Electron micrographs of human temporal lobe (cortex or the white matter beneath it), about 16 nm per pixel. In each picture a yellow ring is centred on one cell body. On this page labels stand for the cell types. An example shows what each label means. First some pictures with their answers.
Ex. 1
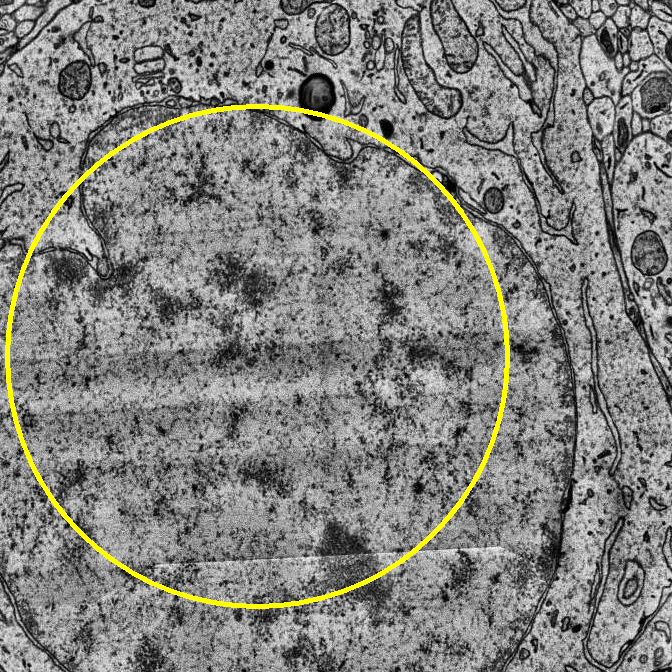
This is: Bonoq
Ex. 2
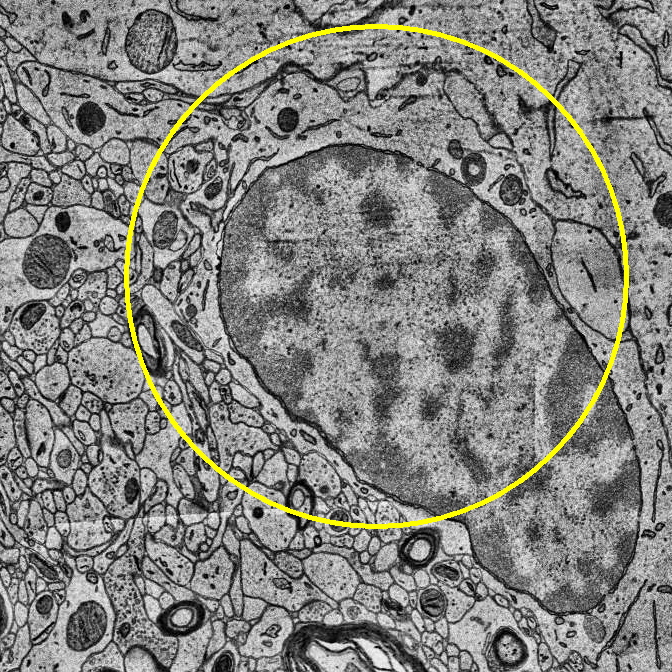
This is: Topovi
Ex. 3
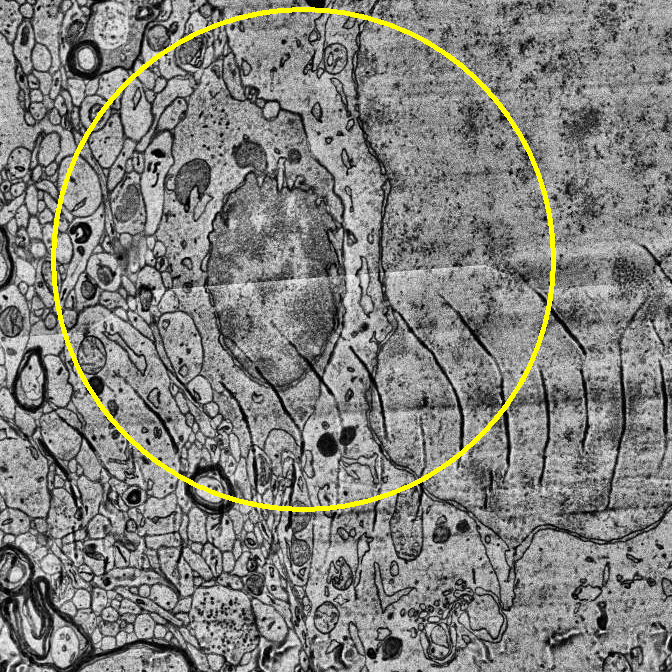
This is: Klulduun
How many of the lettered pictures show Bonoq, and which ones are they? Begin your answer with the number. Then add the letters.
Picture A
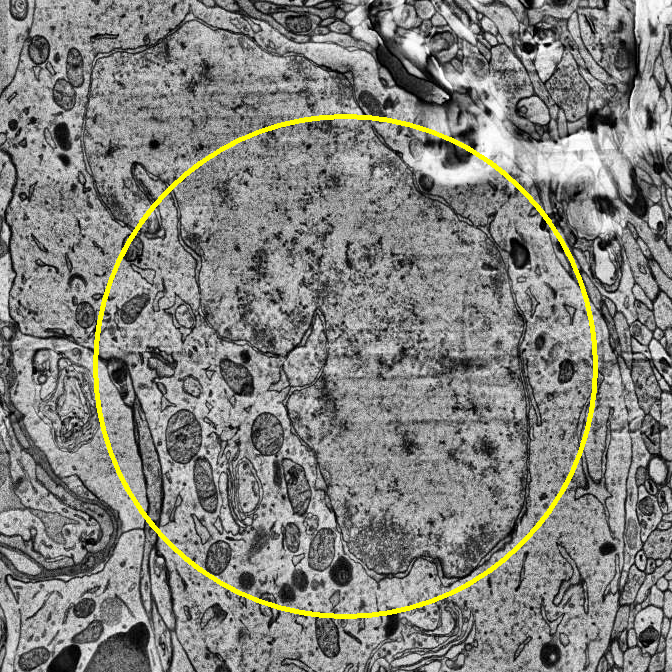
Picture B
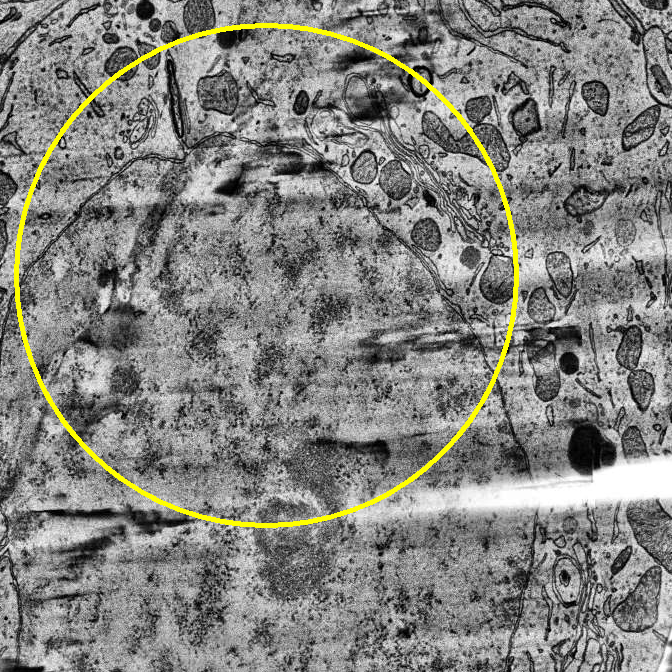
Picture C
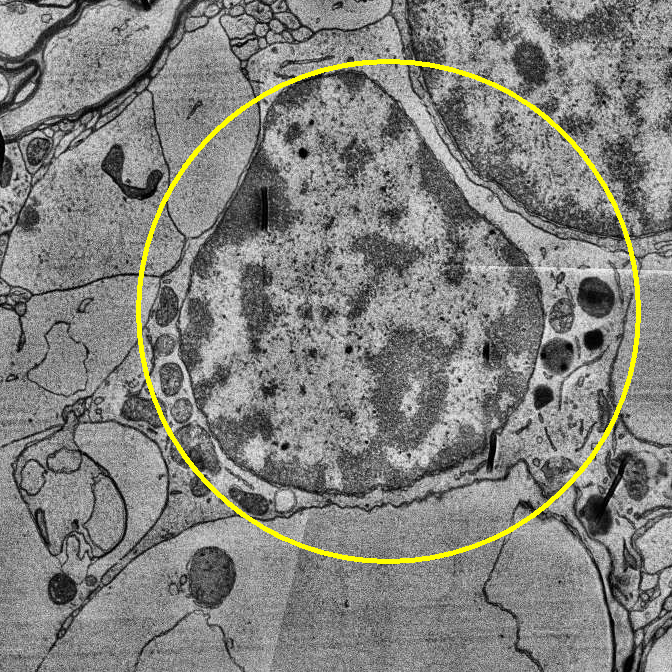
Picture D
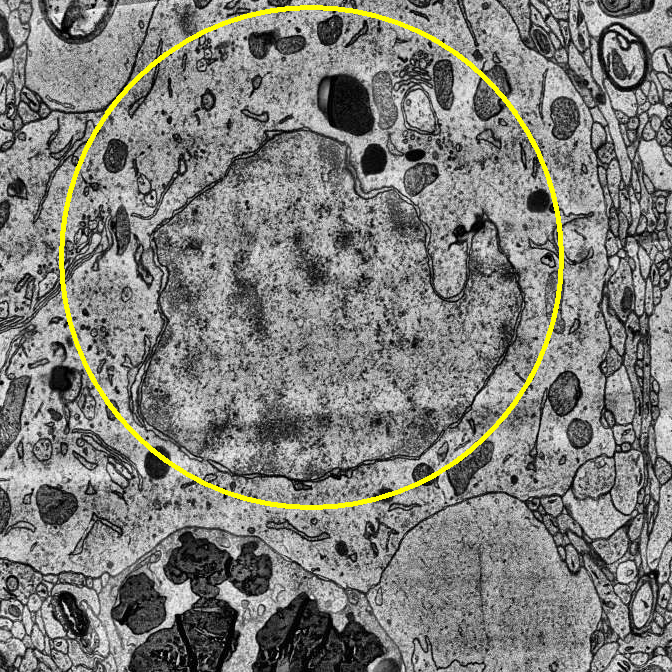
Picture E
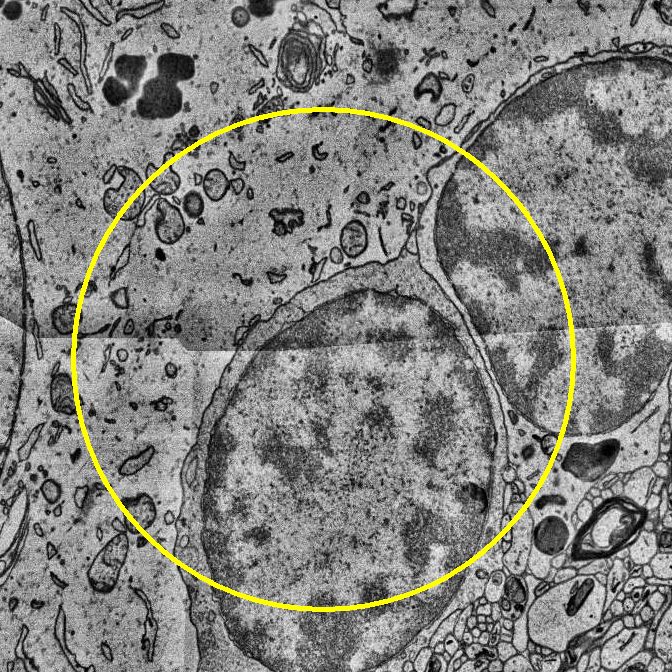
Count: 3 (A, B, D)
